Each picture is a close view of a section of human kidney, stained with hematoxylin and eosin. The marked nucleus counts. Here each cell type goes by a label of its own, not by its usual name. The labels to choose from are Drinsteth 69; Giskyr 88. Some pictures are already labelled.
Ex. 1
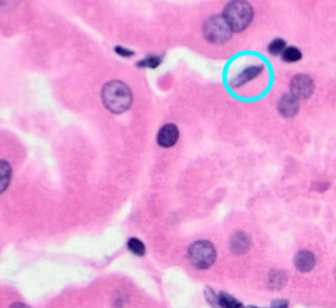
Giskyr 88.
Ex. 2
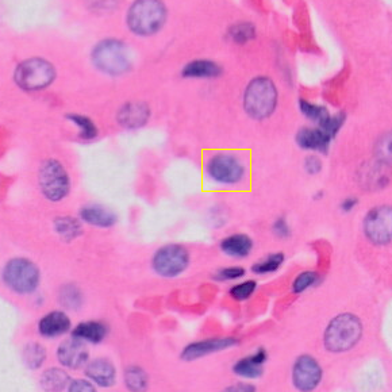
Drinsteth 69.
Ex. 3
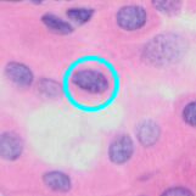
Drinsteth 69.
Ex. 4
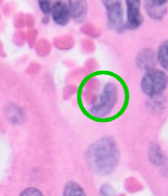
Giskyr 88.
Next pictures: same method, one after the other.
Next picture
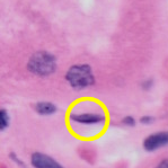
Giskyr 88.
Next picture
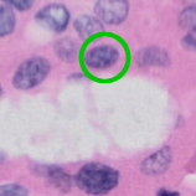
Drinsteth 69.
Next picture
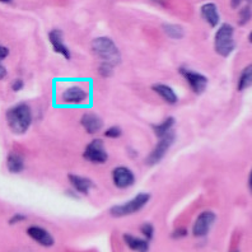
Giskyr 88.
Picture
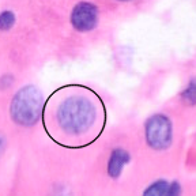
Drinsteth 69.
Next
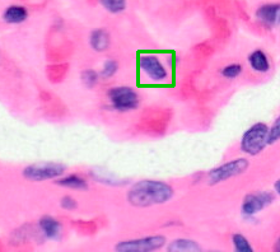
Giskyr 88.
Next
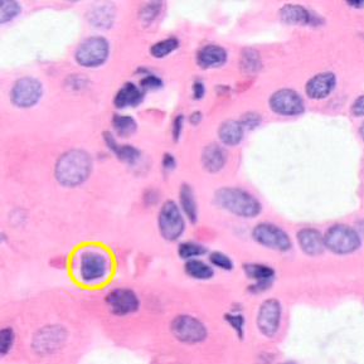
Giskyr 88.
